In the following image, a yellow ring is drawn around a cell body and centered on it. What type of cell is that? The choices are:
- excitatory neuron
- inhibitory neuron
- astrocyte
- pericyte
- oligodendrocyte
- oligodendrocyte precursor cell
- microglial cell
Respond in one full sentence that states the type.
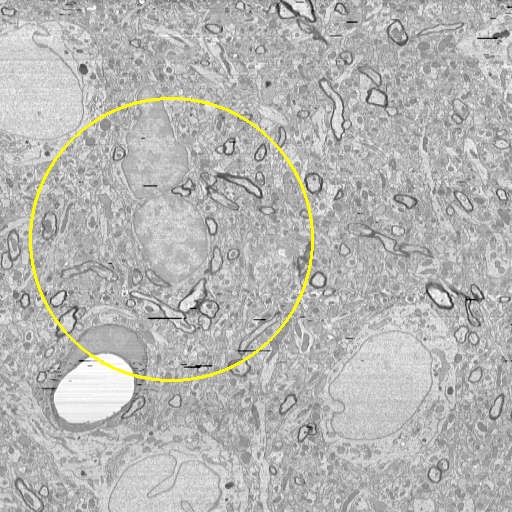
The cell at the center of the yellow ring in the image is an oligodendrocyte.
